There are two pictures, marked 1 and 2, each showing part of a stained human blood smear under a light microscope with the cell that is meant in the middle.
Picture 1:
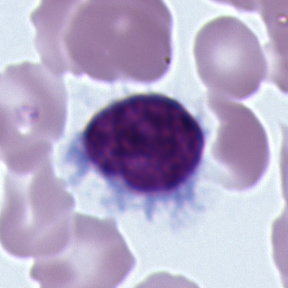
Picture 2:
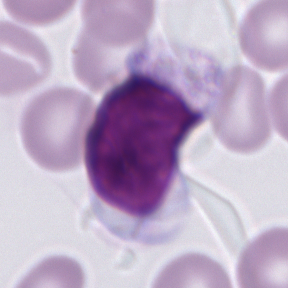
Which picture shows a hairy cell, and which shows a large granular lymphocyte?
1: hairy cell
2: large granular lymphocyte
